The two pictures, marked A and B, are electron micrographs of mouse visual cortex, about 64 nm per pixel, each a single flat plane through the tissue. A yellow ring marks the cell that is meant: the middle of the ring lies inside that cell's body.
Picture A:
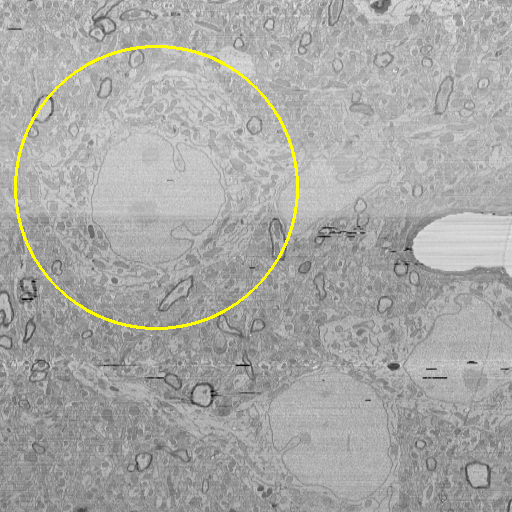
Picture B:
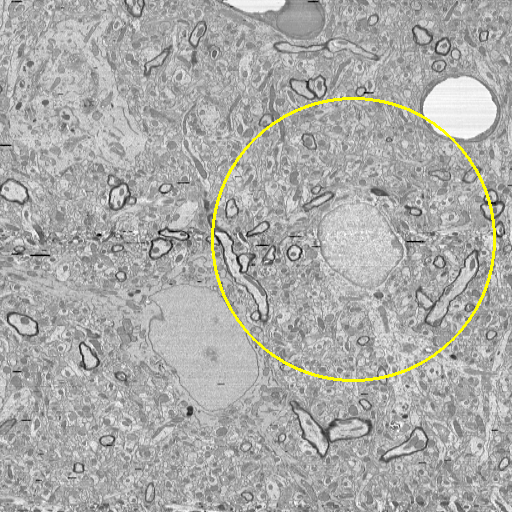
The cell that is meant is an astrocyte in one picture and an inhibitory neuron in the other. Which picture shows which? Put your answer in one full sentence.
In picture A the cell is an inhibitory neuron; in picture B, an astrocyte.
